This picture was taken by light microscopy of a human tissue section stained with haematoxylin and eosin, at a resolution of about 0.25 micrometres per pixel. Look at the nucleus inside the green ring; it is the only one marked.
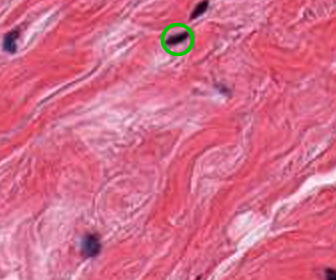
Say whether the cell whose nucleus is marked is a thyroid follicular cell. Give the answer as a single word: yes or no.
no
